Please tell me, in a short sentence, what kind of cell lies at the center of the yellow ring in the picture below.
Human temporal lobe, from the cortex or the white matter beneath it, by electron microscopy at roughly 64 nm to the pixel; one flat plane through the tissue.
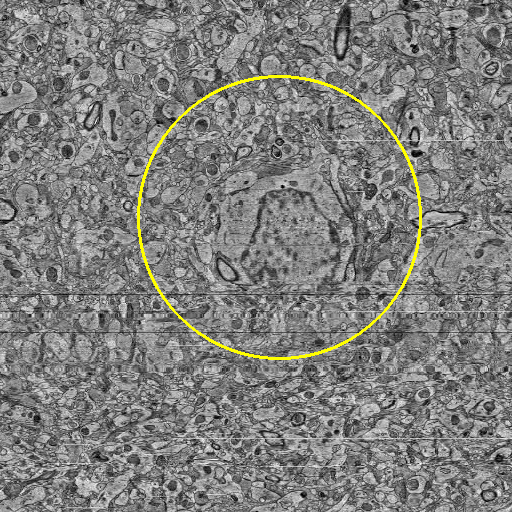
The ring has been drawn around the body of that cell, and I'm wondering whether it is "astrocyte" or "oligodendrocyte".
The cell at the center of the ring is an astrocyte.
